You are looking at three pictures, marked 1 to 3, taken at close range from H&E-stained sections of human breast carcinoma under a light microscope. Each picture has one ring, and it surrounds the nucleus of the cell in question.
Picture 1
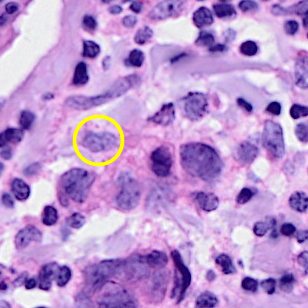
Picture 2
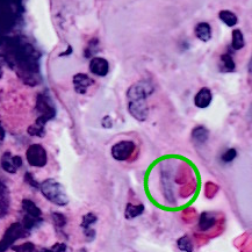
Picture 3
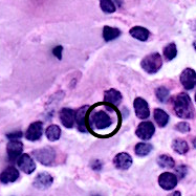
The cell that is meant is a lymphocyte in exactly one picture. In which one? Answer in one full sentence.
The lymphocyte is the one in picture 3.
